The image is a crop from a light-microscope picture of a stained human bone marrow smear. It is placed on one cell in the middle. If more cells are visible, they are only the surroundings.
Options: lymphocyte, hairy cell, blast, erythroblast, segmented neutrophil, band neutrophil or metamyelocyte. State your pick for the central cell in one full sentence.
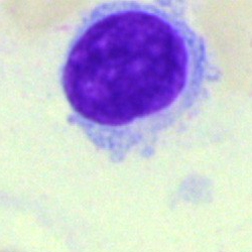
To answer, the cell in the center of the crop is a hairy cell.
